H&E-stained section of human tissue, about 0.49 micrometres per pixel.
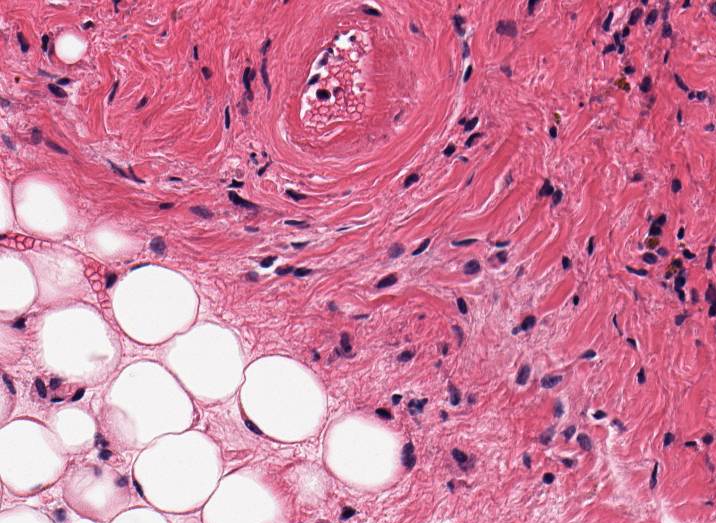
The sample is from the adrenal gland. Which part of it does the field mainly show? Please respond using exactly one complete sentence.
The structure this section shows is dense connective tissue.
